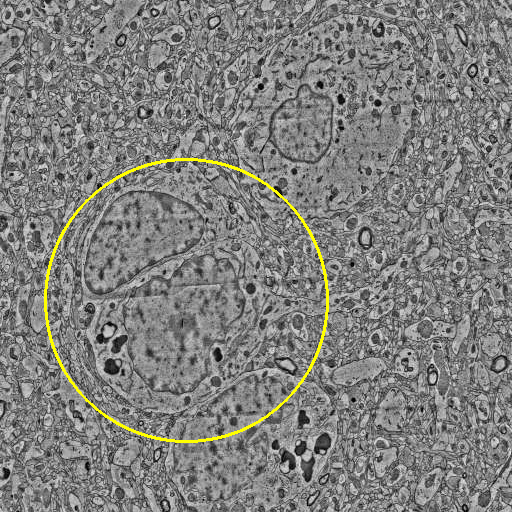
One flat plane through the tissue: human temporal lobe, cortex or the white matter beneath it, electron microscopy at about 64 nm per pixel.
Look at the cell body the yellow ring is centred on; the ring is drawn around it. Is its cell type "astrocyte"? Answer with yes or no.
No, its cell type is another.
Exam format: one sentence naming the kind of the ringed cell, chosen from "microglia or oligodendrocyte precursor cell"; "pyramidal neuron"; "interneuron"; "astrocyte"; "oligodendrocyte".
The cell shown in the ring is an interneuron.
